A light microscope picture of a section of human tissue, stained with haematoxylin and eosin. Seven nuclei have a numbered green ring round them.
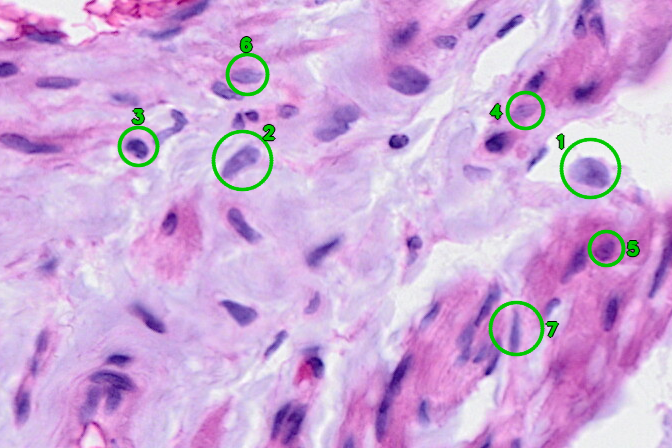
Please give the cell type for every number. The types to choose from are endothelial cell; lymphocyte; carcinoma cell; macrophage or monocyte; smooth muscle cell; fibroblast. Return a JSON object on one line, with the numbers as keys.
{"1": "endothelial cell", "2": "fibroblast", "3": "lymphocyte", "4": "smooth muscle cell", "5": "smooth muscle cell", "6": "smooth muscle cell", "7": "smooth muscle cell"}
